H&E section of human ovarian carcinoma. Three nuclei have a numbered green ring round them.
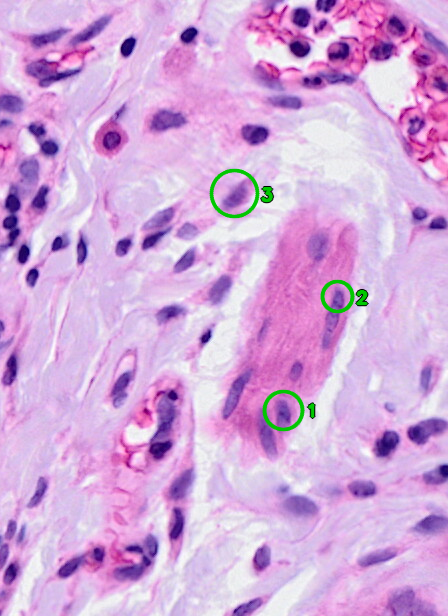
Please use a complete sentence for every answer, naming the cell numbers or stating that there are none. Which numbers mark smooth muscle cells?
The identity of cells 1 and 2: they are smooth muscle cells.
